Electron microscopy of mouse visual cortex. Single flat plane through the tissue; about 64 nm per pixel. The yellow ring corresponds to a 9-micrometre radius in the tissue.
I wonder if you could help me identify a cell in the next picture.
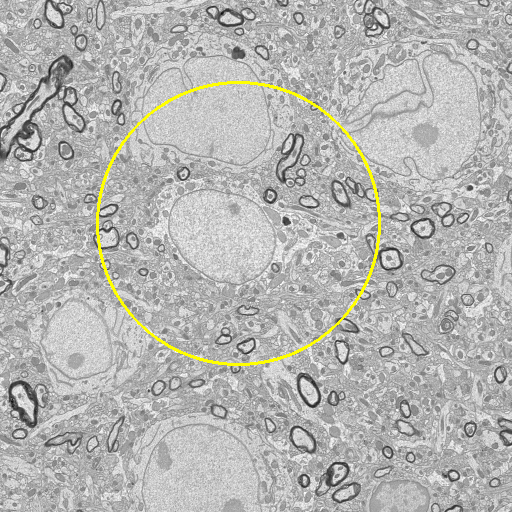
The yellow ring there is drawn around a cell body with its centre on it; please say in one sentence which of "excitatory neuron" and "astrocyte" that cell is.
The yellow ring is centred on an astrocyte.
